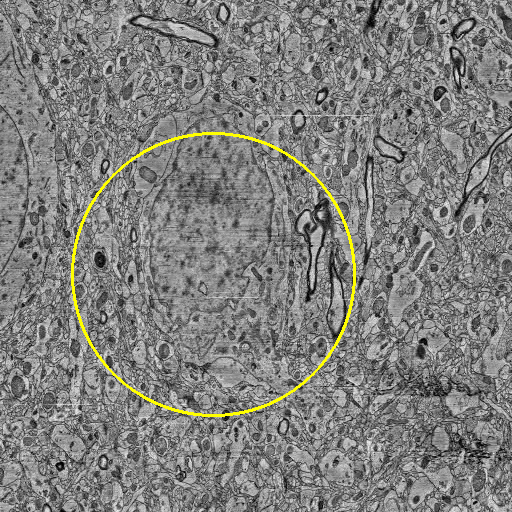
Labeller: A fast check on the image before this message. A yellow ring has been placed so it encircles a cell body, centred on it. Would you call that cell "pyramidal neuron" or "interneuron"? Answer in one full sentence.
In this image, an interneuron is the cell on which the yellow ring is centred.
